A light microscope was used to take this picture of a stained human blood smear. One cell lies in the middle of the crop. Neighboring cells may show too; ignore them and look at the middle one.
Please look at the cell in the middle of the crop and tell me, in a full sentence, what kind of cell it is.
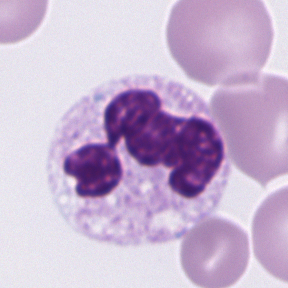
The cell of interest, located centrally, is a neutrophil.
